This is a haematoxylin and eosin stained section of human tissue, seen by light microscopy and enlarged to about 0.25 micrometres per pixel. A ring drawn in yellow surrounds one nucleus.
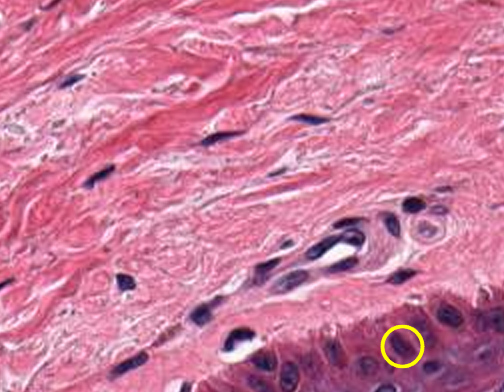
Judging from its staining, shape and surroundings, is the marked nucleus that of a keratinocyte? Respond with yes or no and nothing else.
yes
